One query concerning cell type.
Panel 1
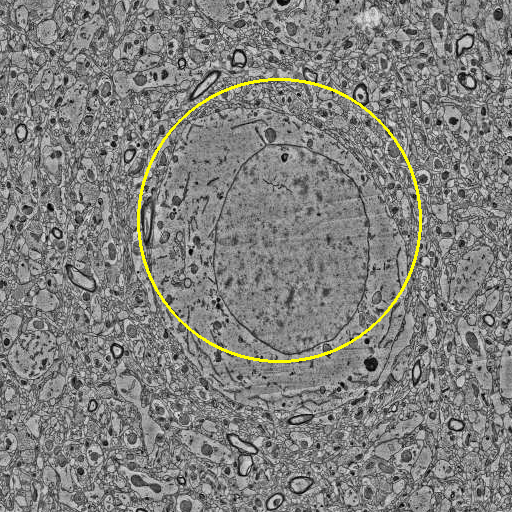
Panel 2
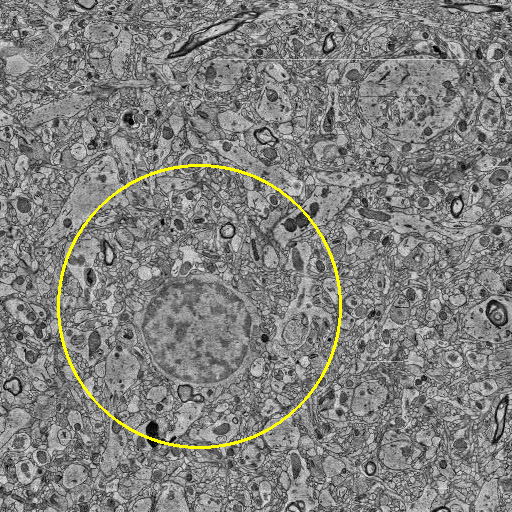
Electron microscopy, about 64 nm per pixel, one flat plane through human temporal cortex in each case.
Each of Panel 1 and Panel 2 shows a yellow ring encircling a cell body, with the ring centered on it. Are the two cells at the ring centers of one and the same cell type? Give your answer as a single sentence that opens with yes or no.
No, the cell centered in Panel 1 and the one in Panel 2 are of two types.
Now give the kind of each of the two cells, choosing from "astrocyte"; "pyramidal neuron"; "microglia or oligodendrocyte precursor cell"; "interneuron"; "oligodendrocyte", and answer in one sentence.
The cell in the first picture is a pyramidal neuron, and the cell in the second is an oligodendrocyte.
